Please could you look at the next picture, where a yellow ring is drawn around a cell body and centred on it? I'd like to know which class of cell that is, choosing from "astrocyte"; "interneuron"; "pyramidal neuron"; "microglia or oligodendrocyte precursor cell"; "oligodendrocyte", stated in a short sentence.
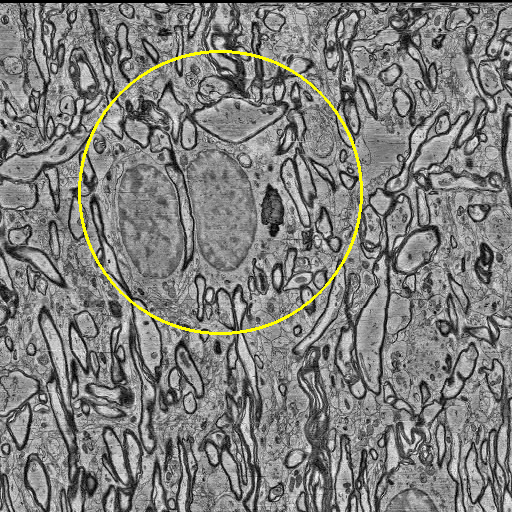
The ring's centre lies on an oligodendrocyte.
